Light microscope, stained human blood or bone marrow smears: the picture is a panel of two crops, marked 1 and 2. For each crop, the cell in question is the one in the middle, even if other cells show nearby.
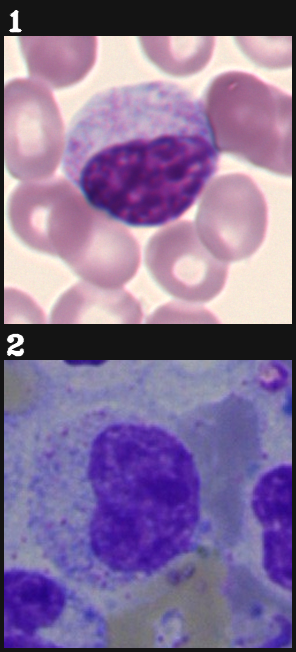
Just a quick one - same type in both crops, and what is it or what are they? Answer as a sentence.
Yes, the crops both have metamyelocytes in the middle.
